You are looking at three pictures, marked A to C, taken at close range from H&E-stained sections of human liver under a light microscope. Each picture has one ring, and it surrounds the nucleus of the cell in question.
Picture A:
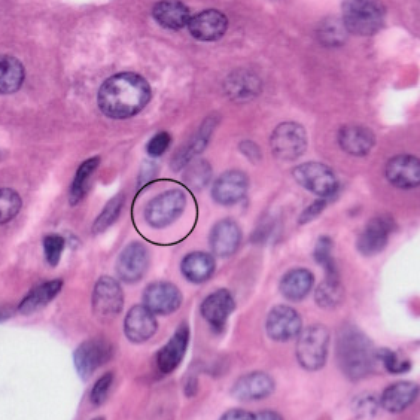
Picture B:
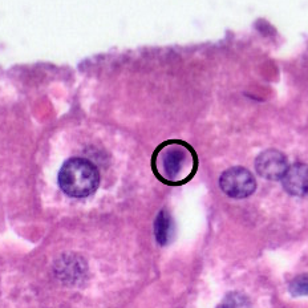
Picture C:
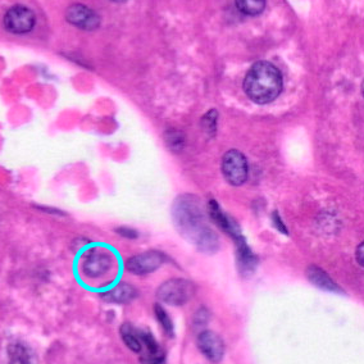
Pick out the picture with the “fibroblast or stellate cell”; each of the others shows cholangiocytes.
B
